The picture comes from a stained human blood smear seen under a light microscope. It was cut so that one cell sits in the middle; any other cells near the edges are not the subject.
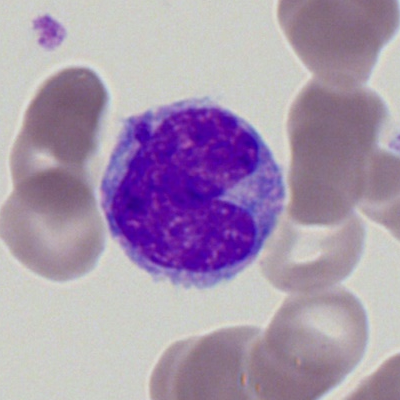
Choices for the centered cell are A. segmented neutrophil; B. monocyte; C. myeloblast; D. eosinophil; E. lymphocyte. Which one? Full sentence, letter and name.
The central cell in this crop is a monocyte, corresponding to option B, the correct option.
